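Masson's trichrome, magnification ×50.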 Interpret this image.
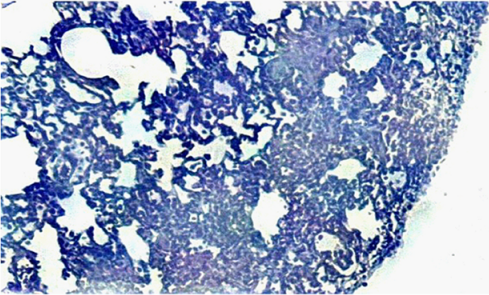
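This is a low-power view of lung tissue in which the normal lace of thin-walled air spaces is largely lost. Broad areas are dense and solid, crowded with small darkly stained nuclei and blue-purple material, leaving only scattered open spaces of various sizes.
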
